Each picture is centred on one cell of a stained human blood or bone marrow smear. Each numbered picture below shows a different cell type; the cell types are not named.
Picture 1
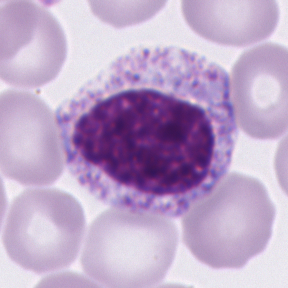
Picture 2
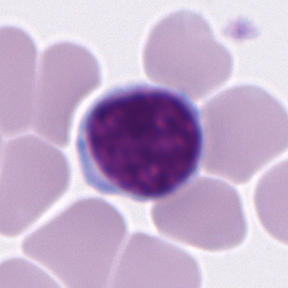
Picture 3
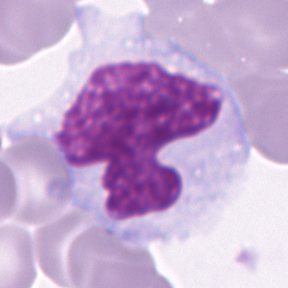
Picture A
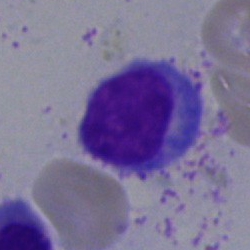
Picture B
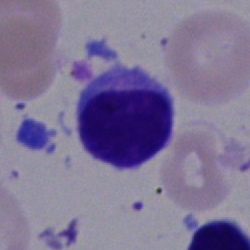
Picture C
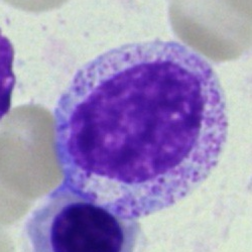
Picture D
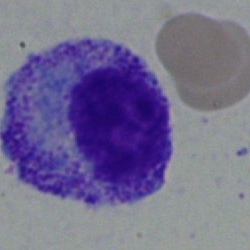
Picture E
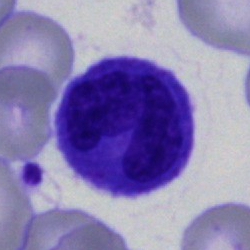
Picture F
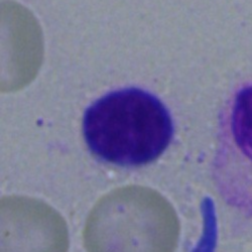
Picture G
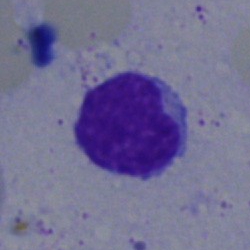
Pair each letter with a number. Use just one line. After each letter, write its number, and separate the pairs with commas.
A 2, B 2, C 1, D 1, E 3, F 2, G 2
